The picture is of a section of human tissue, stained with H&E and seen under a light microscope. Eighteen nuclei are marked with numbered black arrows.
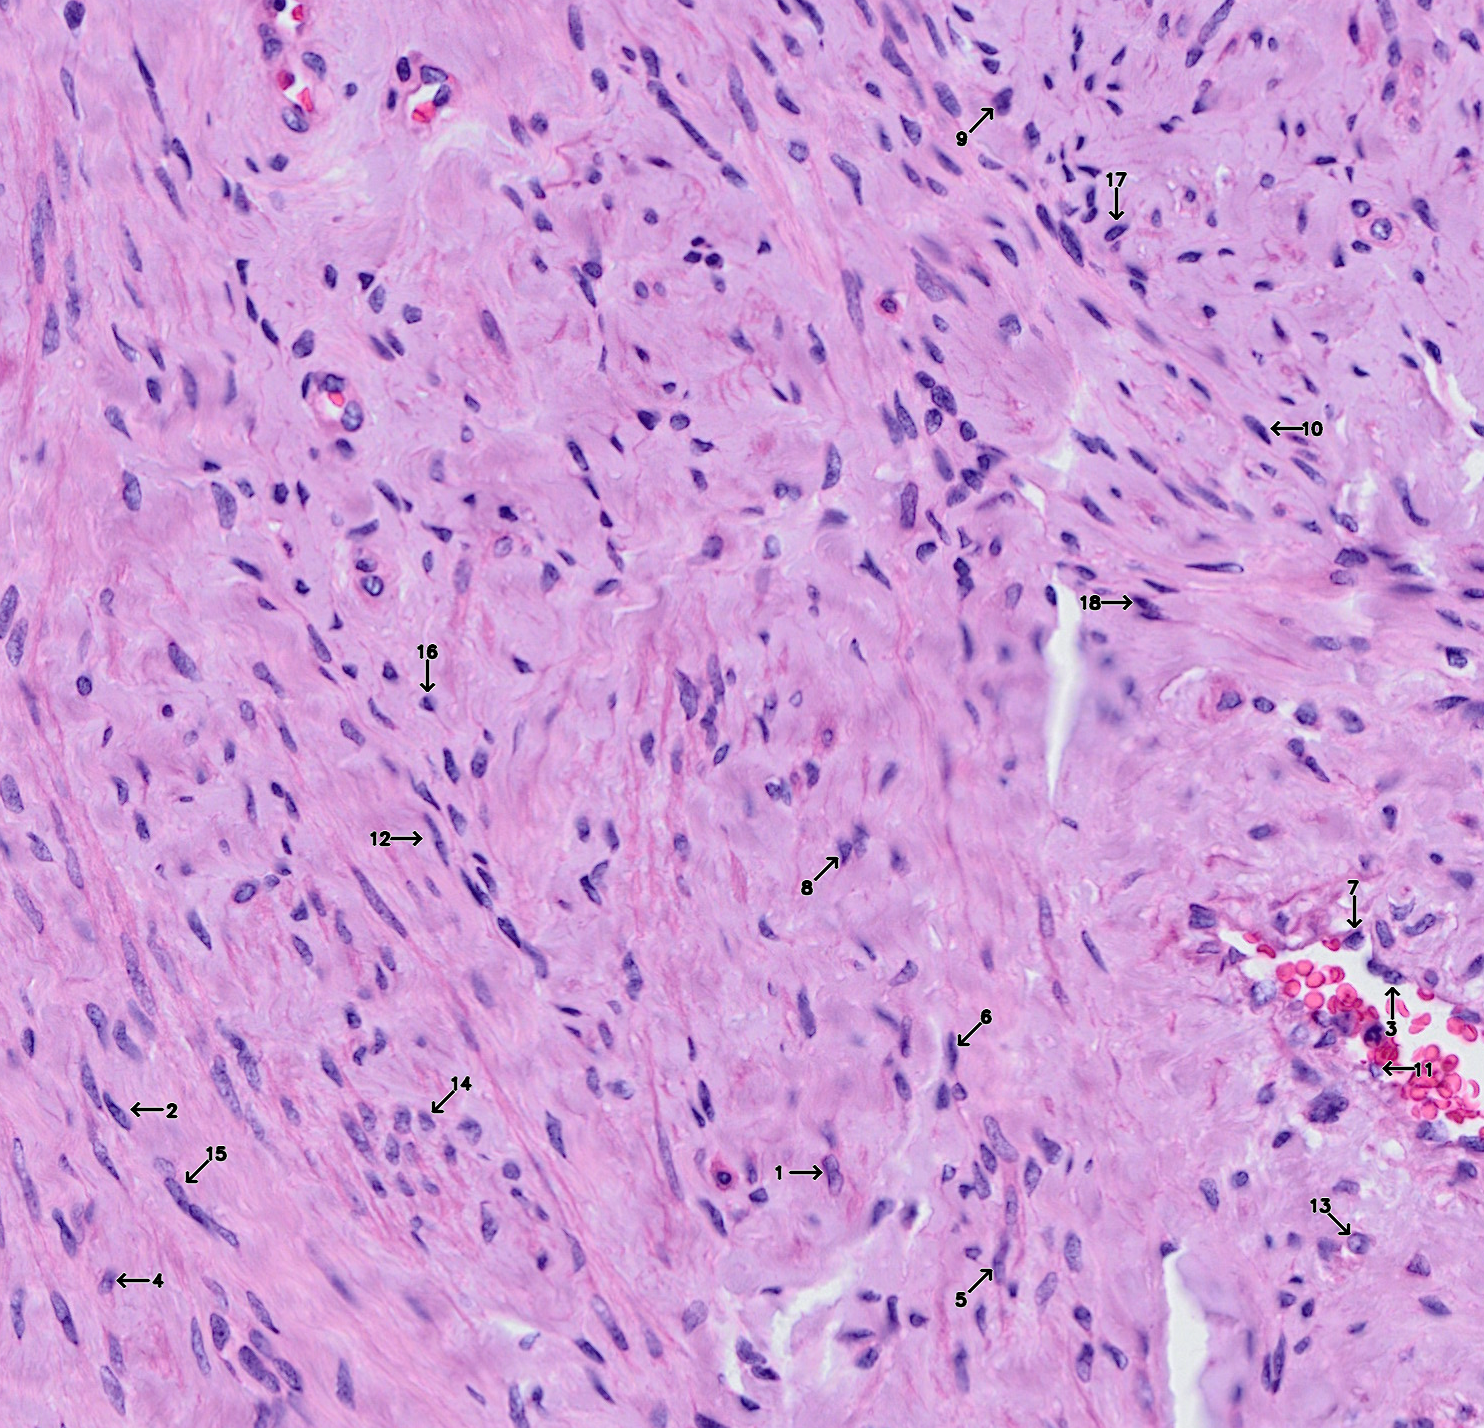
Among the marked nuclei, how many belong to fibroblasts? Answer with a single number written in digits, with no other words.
10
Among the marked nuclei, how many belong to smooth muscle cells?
4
